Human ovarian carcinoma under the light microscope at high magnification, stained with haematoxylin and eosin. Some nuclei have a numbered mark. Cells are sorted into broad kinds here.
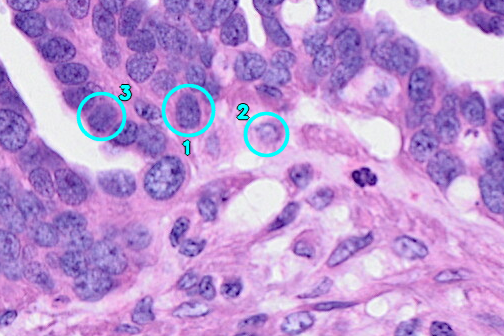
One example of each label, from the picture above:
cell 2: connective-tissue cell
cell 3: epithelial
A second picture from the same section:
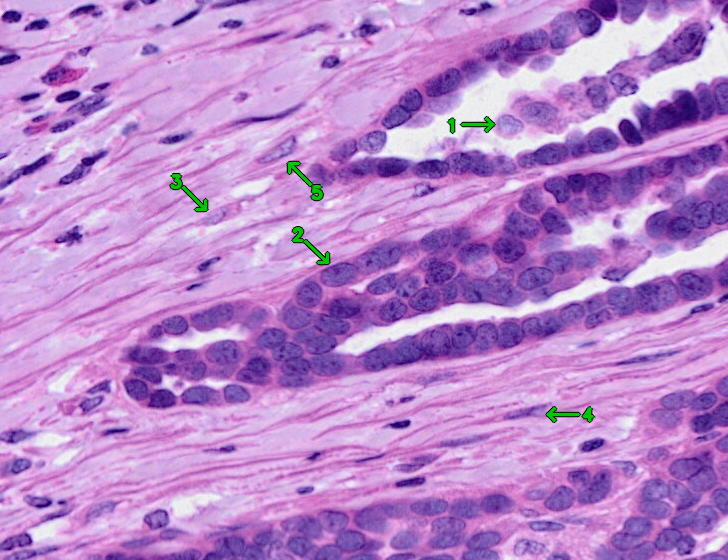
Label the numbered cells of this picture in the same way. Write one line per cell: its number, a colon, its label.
1: epithelial
2: epithelial
3: connective-tissue cell
4: connective-tissue cell
5: connective-tissue cell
